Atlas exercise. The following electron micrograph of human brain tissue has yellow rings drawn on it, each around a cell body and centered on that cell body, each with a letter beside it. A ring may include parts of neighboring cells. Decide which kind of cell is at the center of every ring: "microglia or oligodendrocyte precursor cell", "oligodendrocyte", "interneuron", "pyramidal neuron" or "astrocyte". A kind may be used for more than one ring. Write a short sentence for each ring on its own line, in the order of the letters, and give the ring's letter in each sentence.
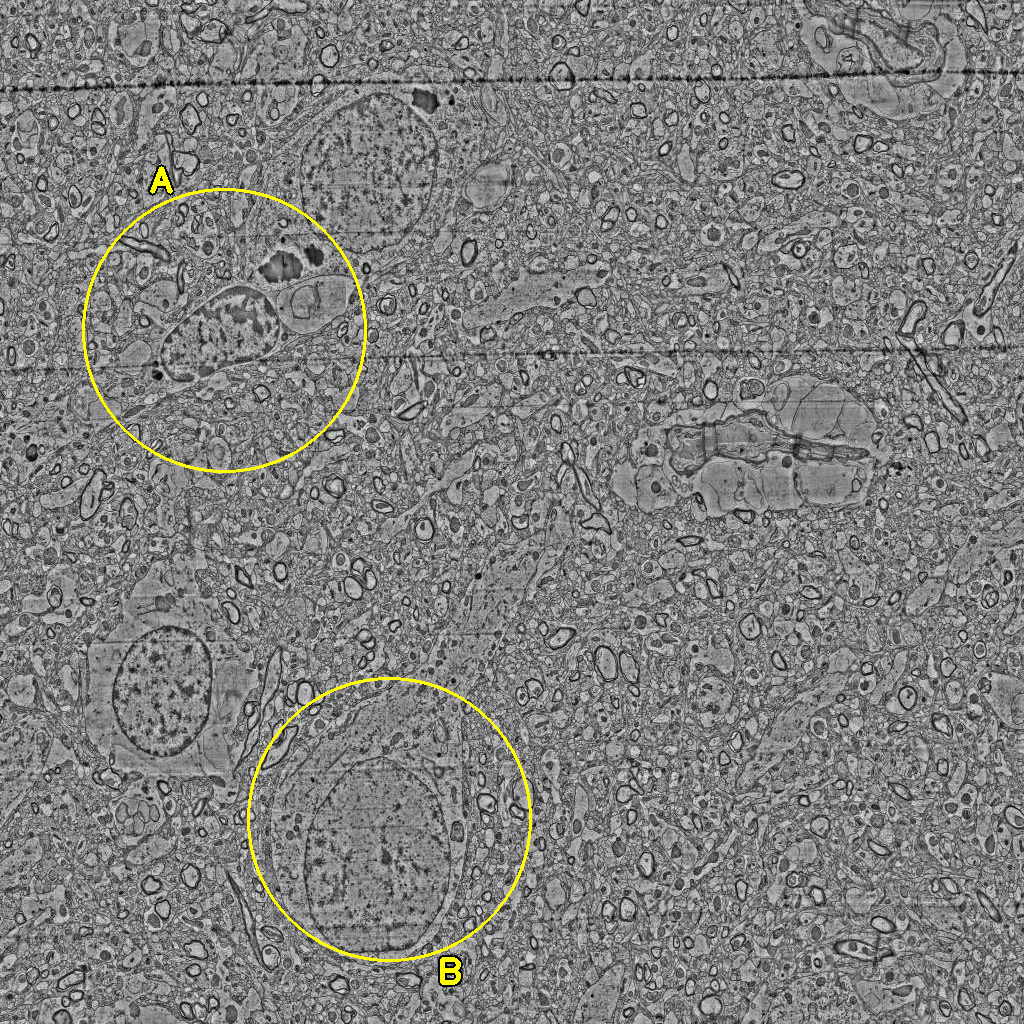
Ring A frames a microglial cell or oligodendrocyte precursor cell at its center.
Ring B frames a pyramidal neuron at its center.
